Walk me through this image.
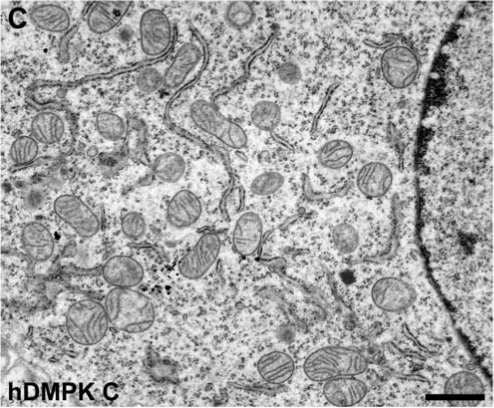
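Transmission electron micrograph of cytoplasm next to a nucleus, whose edge with dark peripheral chromatin runs along the right border. Mitochondria of round and elongated profiles are loosely spread through the cytoplasm, each with a moderately dense matrix and regular, well-defined cristae. Between them run thin, slender tubular cisternae of endoplasmic reticulum, curving through the granular, ribosome-rich cytoplasm. The organelles are evenly spaced rather than clustered, and no enclosed or swollen mitochondria are evident.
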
